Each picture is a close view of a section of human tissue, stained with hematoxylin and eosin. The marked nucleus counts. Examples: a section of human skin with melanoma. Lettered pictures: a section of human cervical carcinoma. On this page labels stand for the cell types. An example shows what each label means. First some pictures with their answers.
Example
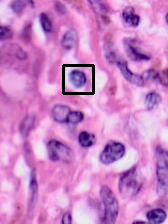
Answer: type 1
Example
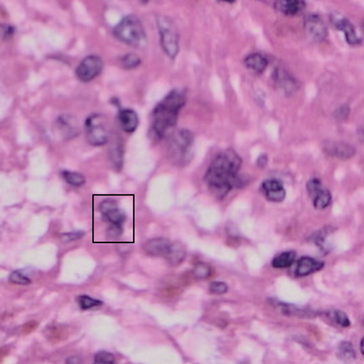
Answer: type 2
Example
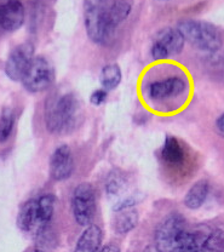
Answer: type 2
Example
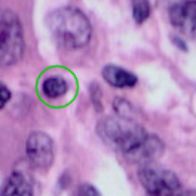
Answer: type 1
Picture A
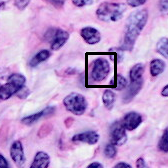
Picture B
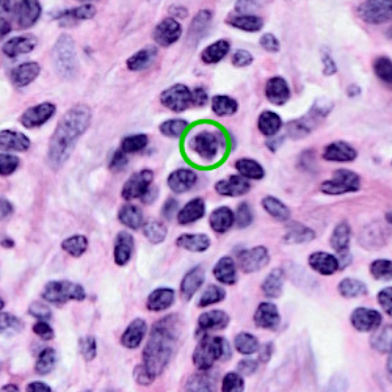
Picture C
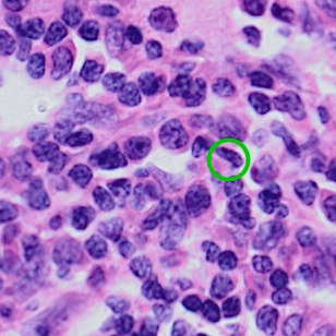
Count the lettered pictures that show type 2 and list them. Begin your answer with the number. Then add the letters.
0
